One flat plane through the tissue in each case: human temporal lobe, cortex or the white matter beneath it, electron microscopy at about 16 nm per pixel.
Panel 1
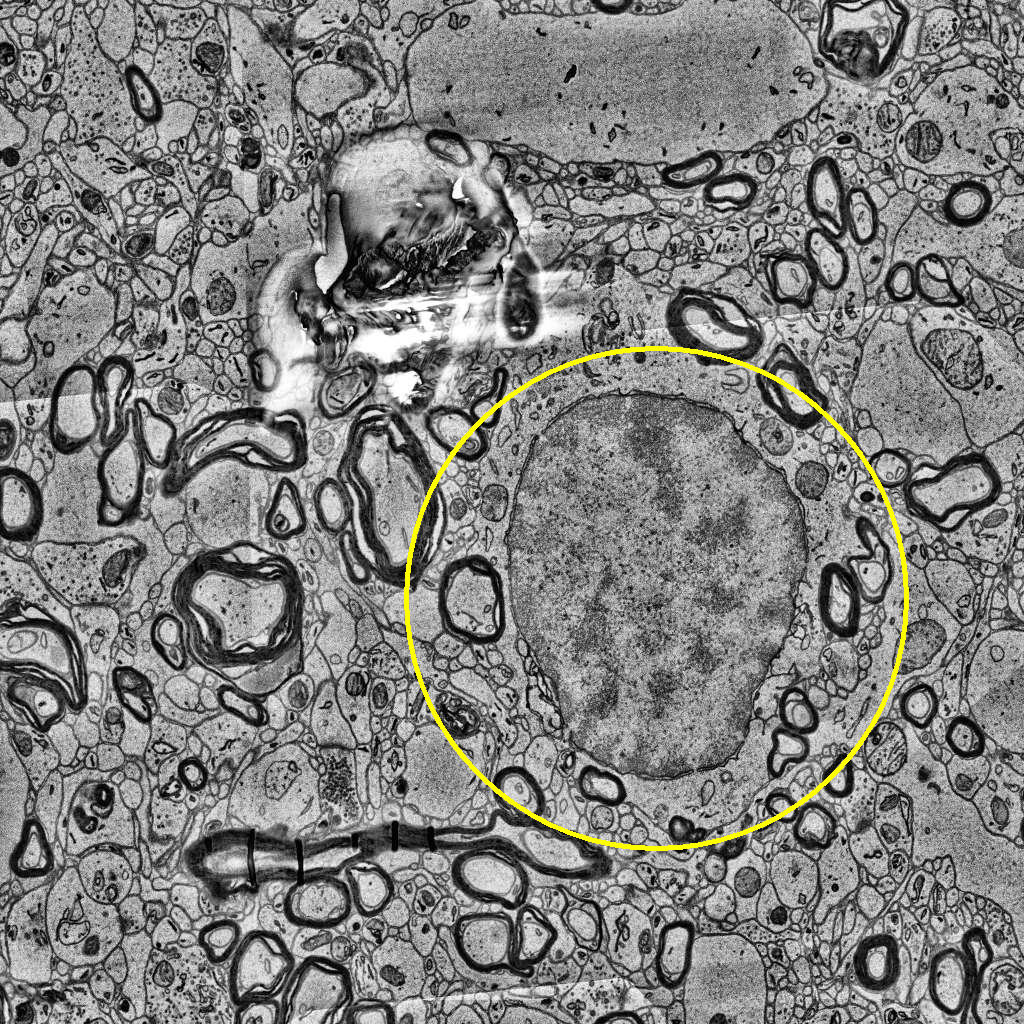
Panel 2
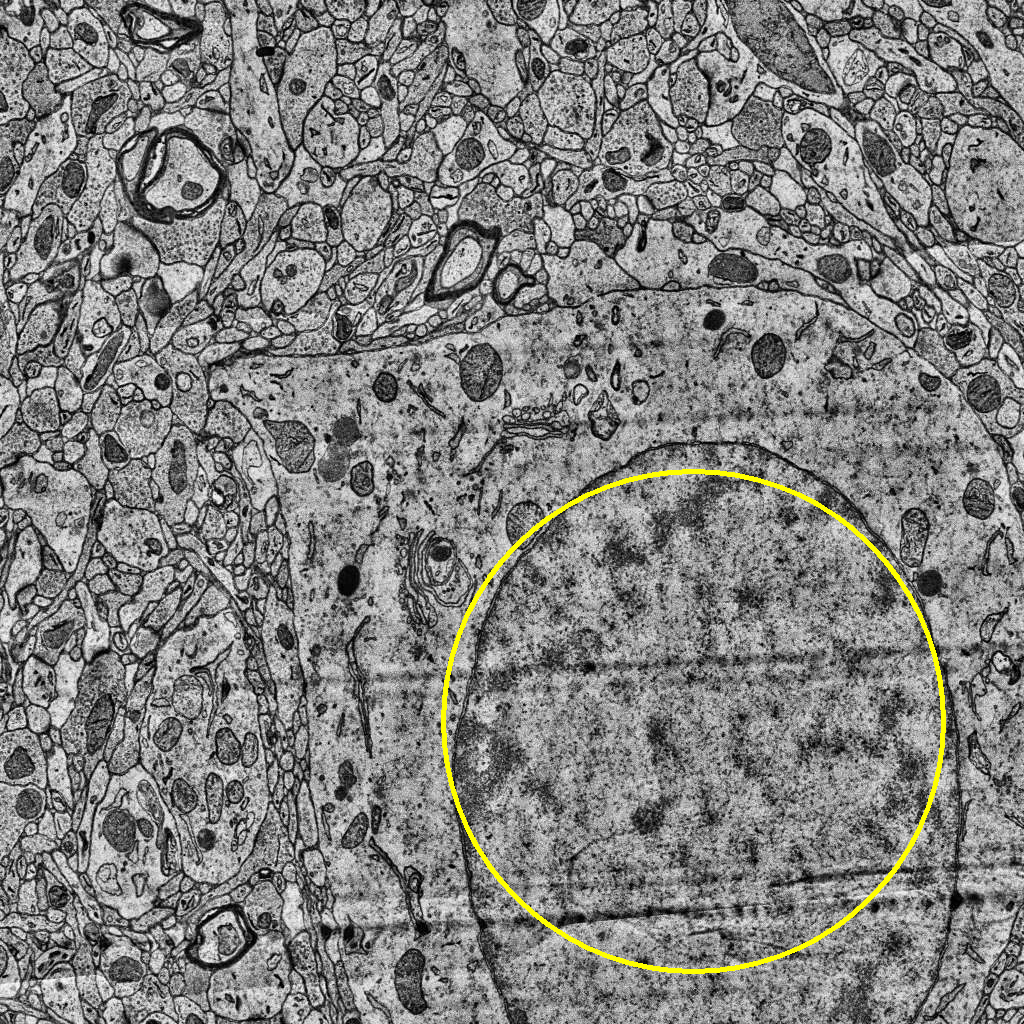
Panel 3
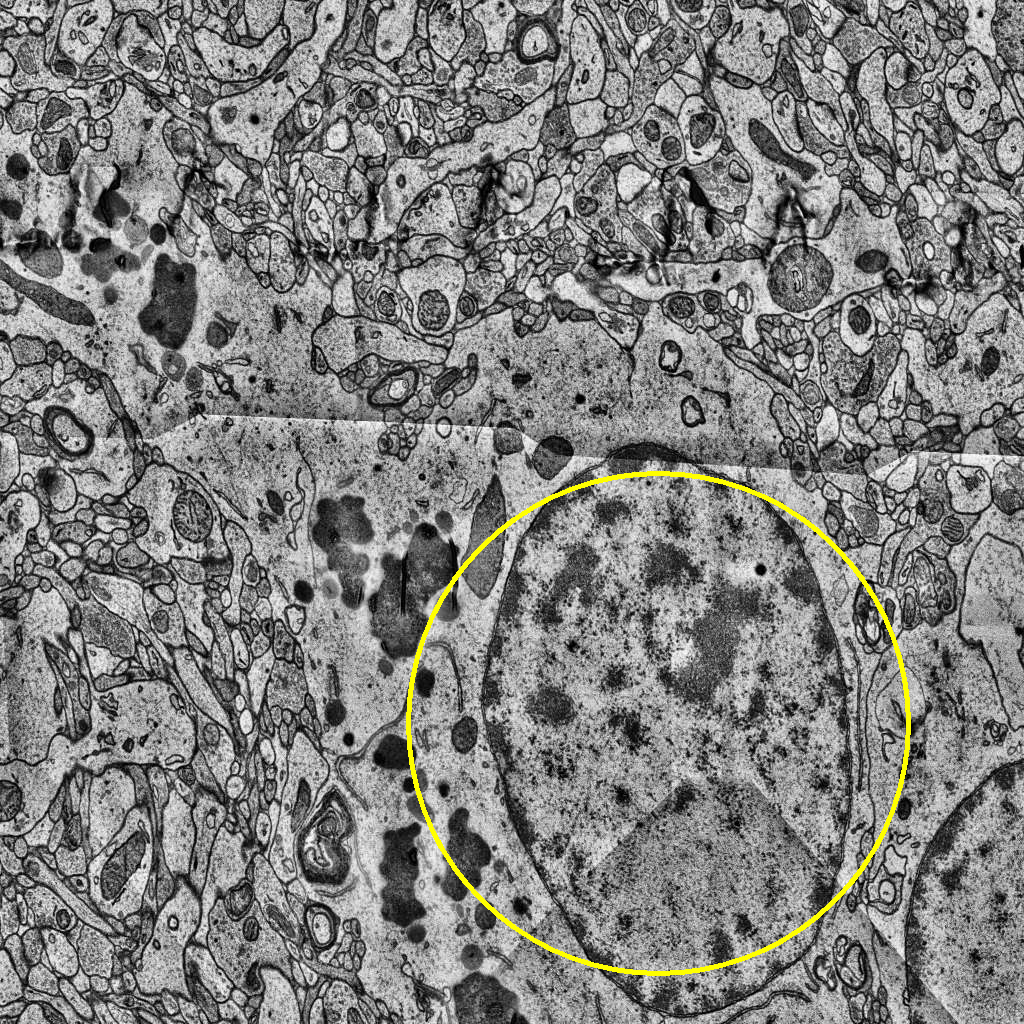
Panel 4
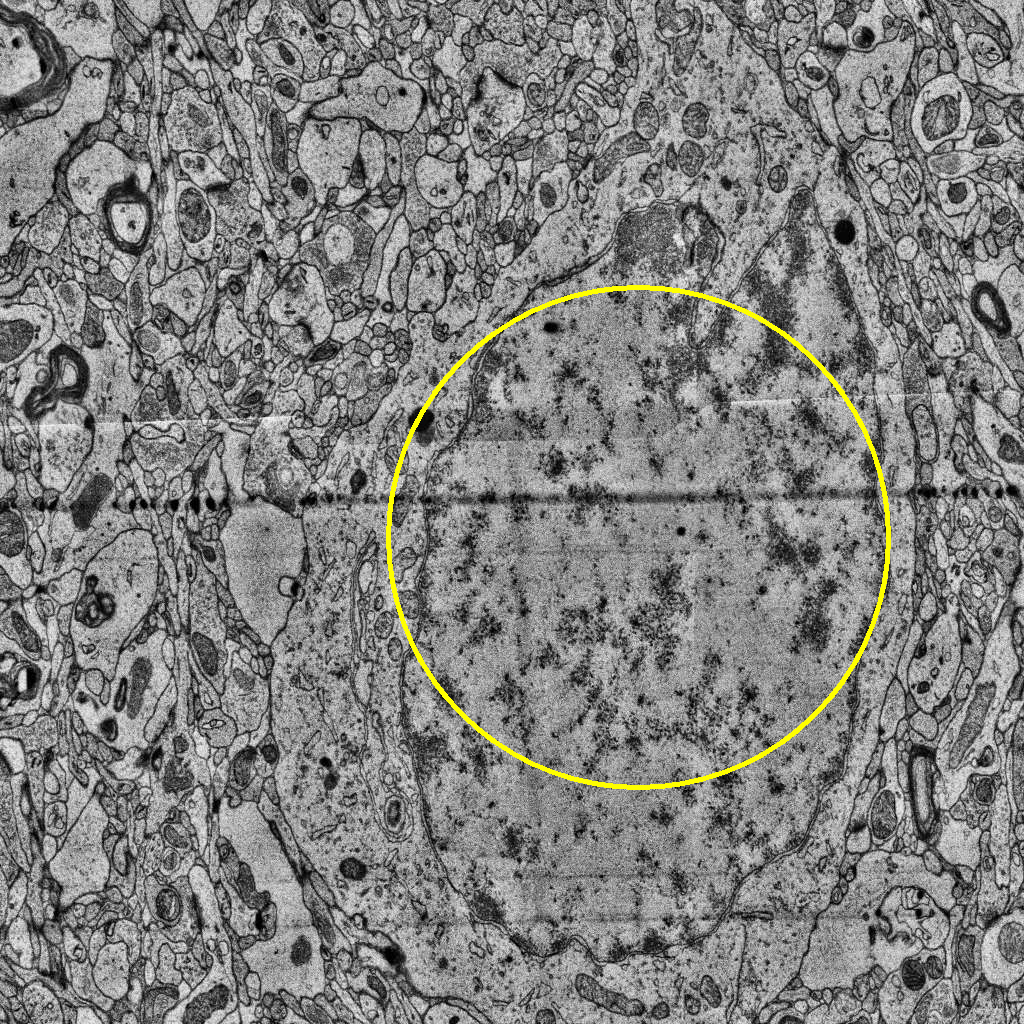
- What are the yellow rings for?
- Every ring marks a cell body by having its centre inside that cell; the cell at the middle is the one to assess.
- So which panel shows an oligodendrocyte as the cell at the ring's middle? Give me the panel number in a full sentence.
The panel whose ring has its middle inside the cell in question is panel 1.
